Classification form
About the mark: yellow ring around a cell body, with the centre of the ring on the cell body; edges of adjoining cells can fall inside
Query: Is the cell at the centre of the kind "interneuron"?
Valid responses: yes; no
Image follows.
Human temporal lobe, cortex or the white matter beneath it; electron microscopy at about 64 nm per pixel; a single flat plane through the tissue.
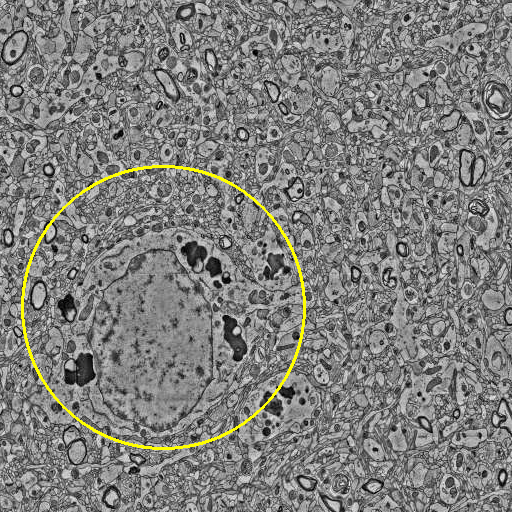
yes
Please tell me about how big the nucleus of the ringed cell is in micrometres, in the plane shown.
The ringed cell's nucleus measures approximately 11 by 8 micrometres in this plane.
